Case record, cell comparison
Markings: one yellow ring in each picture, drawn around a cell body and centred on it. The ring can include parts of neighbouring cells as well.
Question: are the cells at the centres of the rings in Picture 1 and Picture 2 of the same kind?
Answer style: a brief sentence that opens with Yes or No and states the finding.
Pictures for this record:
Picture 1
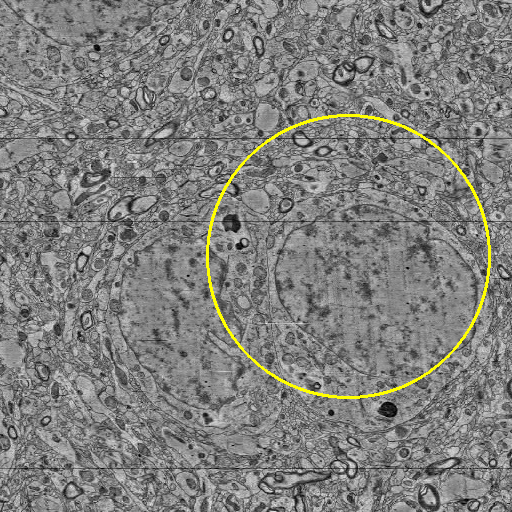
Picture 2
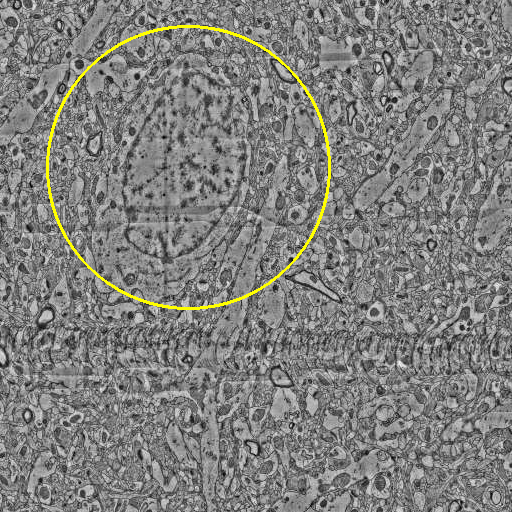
No, the cells in Picture 1 and Picture 2 are of two kinds.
